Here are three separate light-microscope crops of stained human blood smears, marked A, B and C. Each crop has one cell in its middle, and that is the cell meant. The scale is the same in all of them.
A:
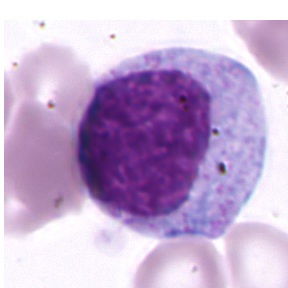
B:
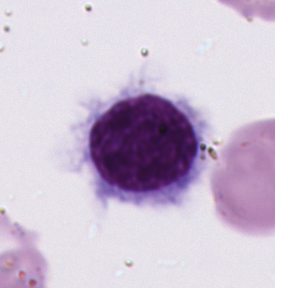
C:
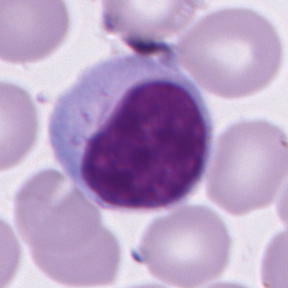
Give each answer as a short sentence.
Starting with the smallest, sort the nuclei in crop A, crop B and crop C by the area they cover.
Going up, they run B, C, A.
